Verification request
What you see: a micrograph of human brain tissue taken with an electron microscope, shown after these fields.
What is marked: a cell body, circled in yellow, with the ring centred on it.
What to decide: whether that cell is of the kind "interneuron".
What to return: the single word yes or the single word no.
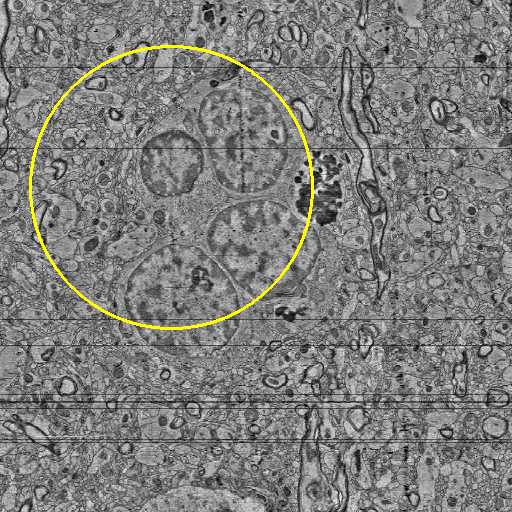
no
